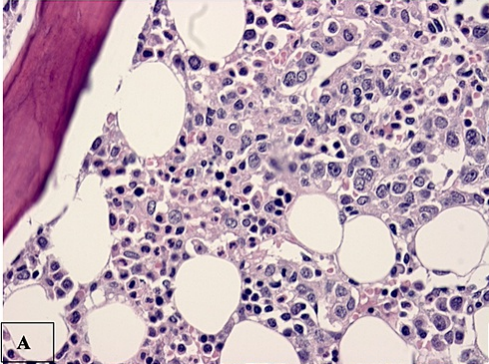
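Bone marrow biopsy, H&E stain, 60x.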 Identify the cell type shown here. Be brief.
large, centroblast-like mononuclear cells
